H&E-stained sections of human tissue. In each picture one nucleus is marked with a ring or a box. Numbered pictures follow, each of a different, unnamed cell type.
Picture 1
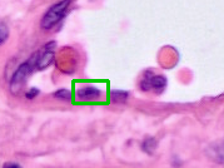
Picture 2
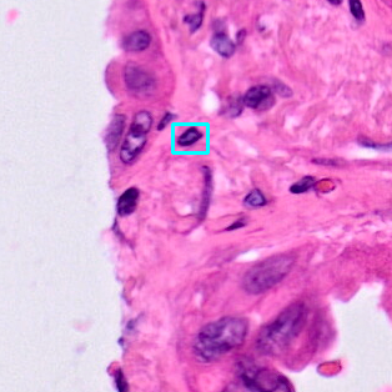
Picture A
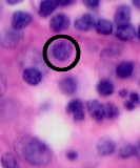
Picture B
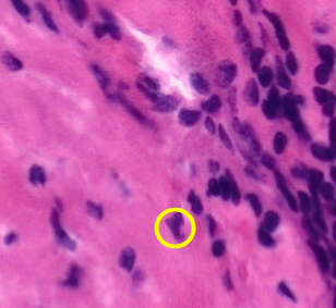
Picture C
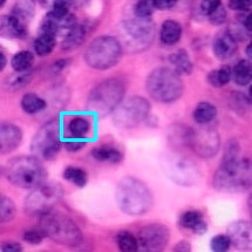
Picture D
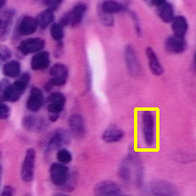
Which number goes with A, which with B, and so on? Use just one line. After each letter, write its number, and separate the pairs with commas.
A 1, B 2, C 1, D 2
